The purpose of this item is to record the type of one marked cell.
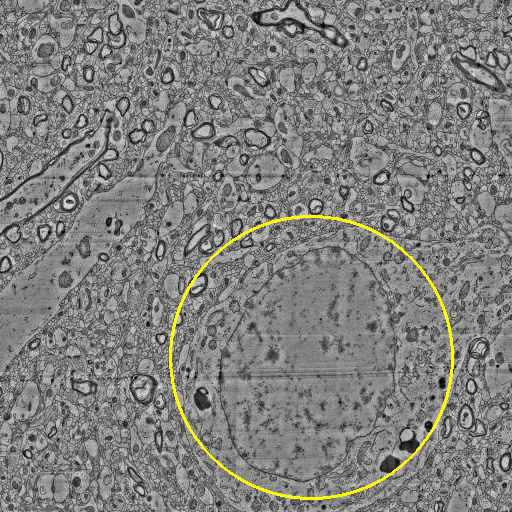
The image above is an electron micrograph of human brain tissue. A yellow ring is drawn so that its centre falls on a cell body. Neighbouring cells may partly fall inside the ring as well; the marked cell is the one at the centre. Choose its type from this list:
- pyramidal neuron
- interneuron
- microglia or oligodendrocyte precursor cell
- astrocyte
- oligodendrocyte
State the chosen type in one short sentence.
What the ring marks here is a pyramidal neuron.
